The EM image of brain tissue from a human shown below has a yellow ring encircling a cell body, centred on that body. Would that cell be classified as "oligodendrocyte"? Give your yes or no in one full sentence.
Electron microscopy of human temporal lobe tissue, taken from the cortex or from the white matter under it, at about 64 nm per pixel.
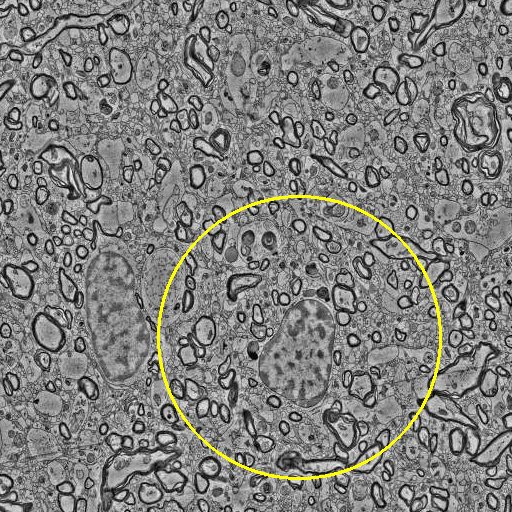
No, the cell at the centre of the ring in the picture falls in another class.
